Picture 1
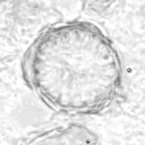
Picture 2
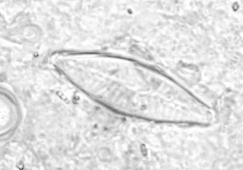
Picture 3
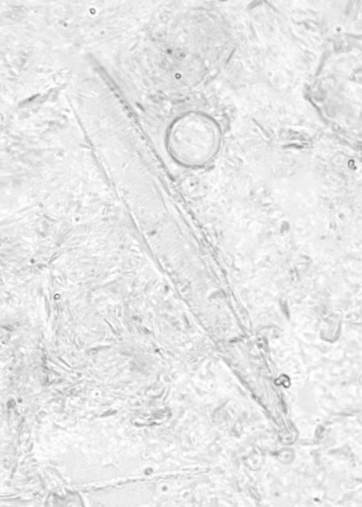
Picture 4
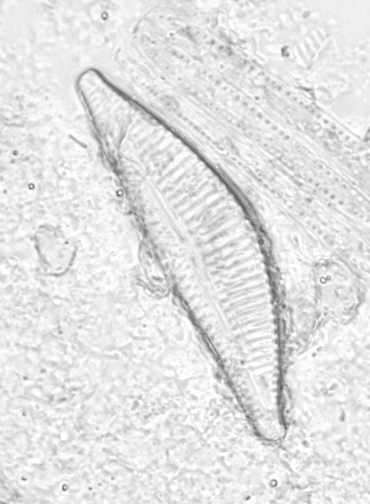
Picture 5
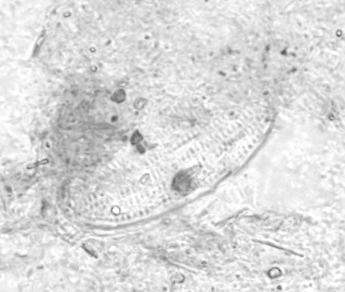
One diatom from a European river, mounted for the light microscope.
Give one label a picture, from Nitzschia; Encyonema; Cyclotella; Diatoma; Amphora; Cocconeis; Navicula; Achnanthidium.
Picture 1: Cyclotella
Picture 2: Navicula
Picture 3: Nitzschia
Picture 4: Encyonema
Picture 5: Cocconeis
